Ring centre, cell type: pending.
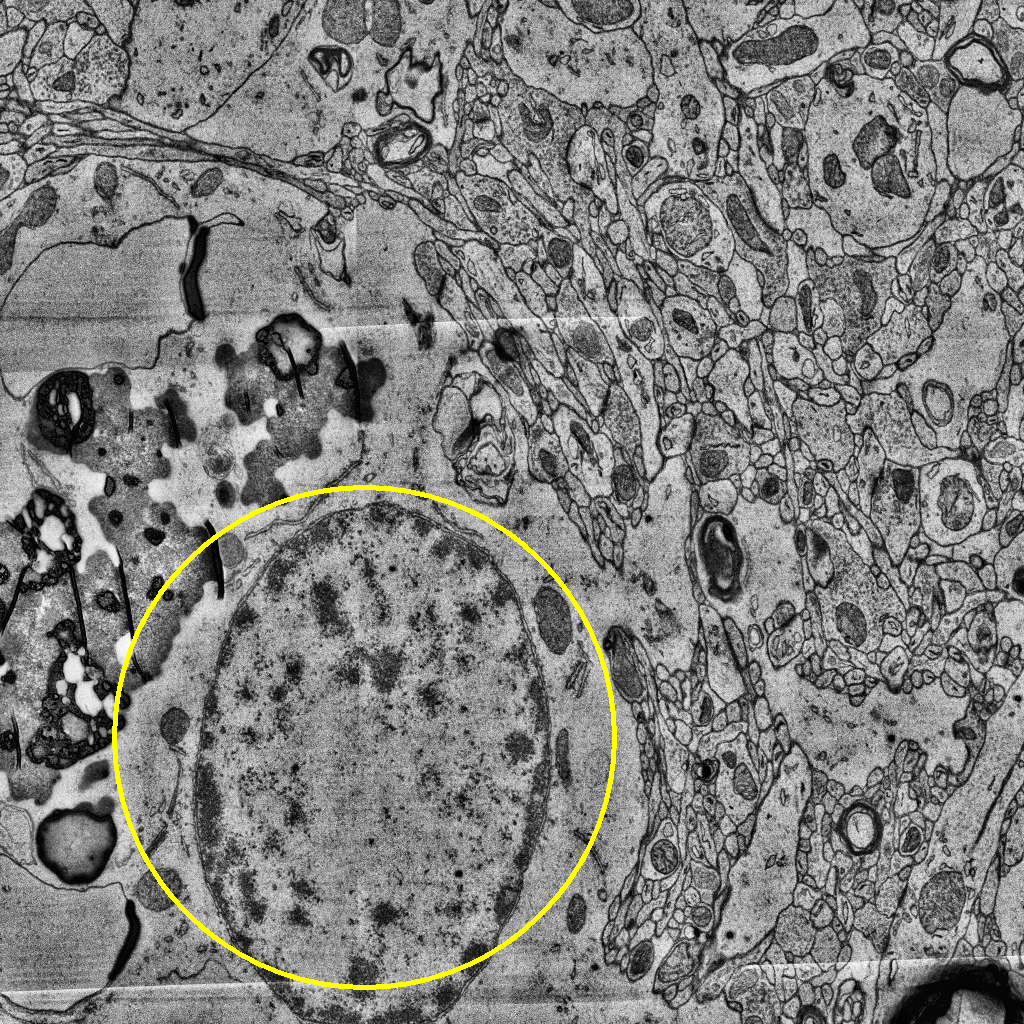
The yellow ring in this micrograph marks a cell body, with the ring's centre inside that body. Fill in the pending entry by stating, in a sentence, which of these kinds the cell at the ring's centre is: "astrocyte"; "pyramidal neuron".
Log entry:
The cell at the ring's centre is recorded as an astrocyte.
